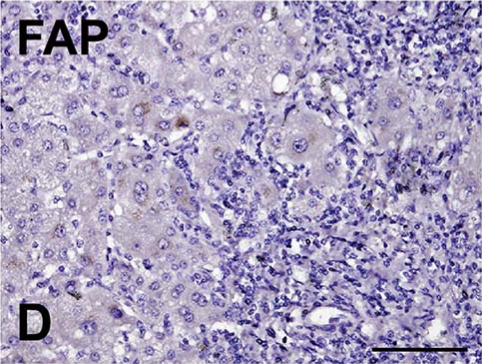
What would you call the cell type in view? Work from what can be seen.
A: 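Large polygonal cells with abundant pale cytoplasm and round central nuclei with nucleoli fill the left part.
Conclusion: hepatocytes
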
